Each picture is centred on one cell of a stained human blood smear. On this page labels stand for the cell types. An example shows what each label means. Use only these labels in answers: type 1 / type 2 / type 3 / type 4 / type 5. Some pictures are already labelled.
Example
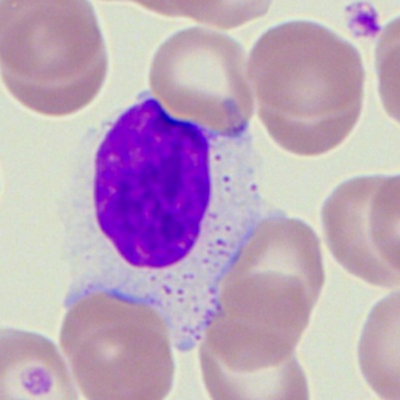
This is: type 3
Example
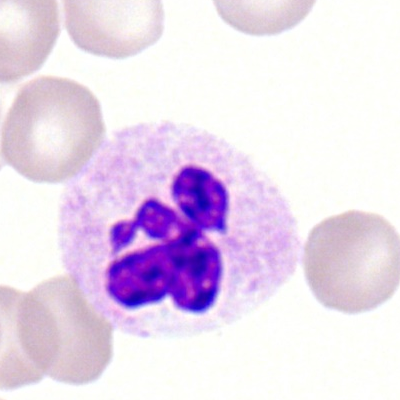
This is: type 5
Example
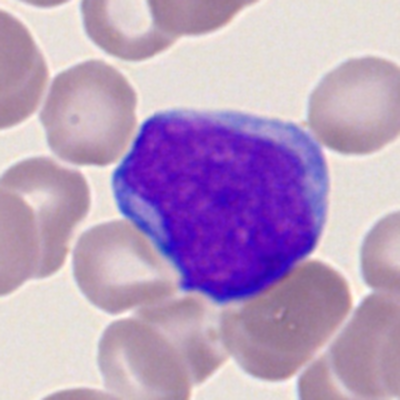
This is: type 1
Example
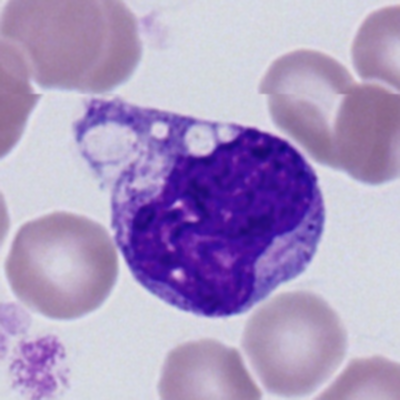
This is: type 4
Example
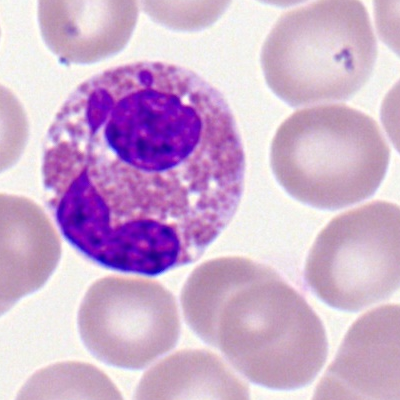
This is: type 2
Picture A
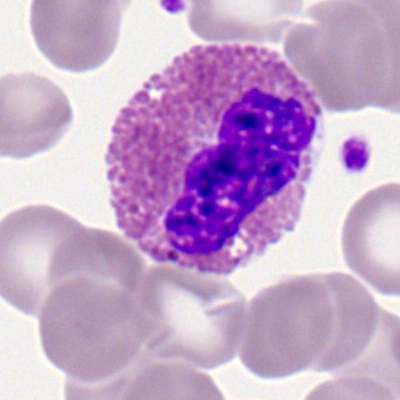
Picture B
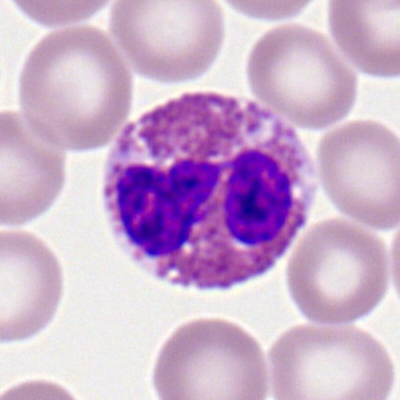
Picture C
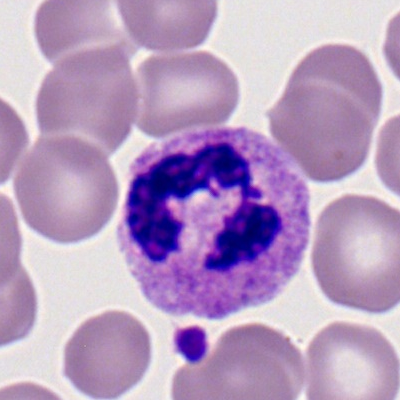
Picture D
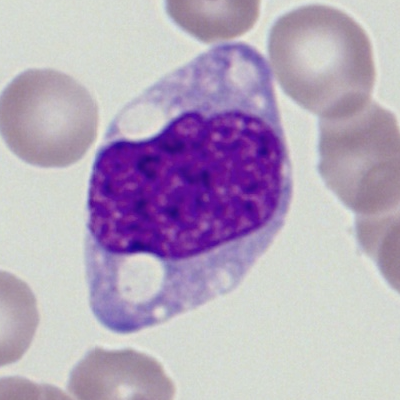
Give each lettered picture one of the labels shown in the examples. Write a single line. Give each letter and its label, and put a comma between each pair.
A type 2, B type 2, C type 5, D type 4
